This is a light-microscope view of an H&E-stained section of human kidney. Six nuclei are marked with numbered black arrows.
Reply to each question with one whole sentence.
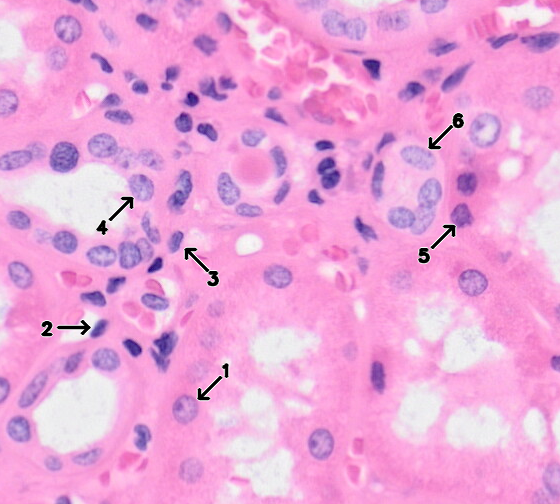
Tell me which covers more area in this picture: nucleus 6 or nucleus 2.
The larger nucleus is 6, at roughly 2.5 times the area of 2.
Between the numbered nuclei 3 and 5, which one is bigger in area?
Nucleus 5 covers more area, about 2 times as much as nucleus 3.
